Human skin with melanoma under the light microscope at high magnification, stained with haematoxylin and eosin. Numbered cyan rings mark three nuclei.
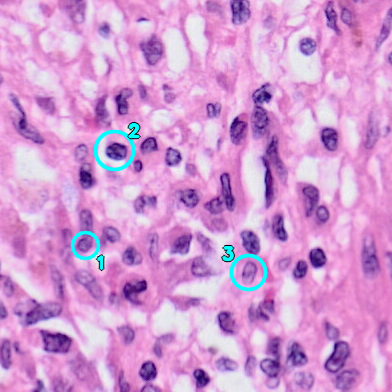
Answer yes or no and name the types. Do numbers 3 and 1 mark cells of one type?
Yes, both are macrophages or monocytes.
